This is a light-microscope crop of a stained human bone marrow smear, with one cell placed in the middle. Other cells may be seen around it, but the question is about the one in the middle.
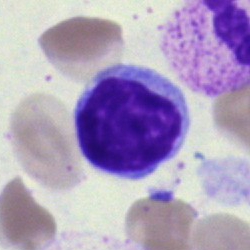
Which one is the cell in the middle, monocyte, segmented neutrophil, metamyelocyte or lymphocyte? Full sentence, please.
Seen at the centre of the crop is a lymphocyte.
